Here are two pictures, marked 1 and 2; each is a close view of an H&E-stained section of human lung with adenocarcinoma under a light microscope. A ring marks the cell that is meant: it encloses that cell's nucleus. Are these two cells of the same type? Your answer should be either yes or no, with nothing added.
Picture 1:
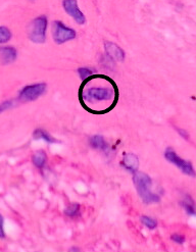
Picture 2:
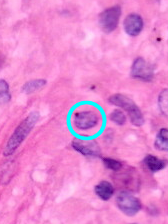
yes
